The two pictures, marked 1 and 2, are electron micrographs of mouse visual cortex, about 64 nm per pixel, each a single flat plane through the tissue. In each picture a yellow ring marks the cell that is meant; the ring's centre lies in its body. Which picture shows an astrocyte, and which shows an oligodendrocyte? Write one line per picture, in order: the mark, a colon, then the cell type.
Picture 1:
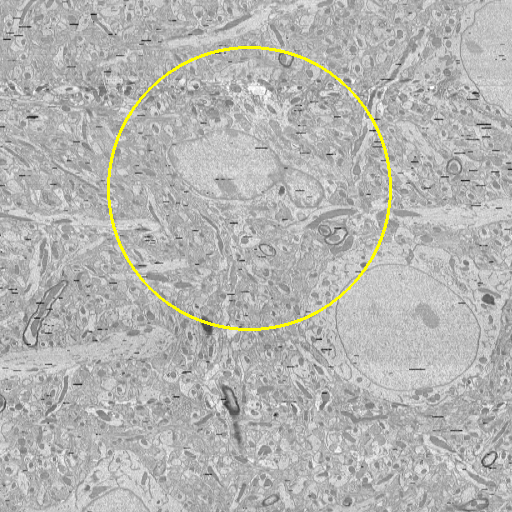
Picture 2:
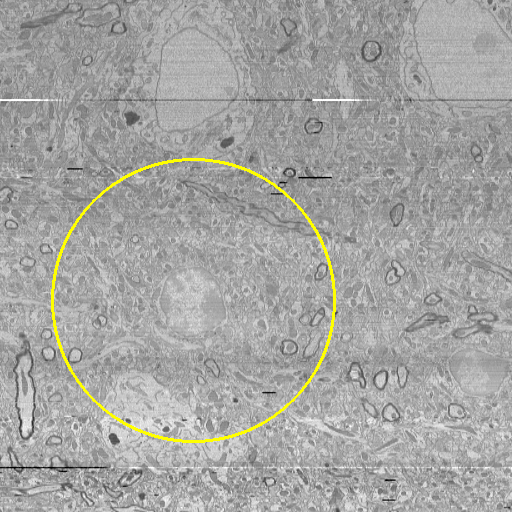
1: astrocyte
2: oligodendrocyte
